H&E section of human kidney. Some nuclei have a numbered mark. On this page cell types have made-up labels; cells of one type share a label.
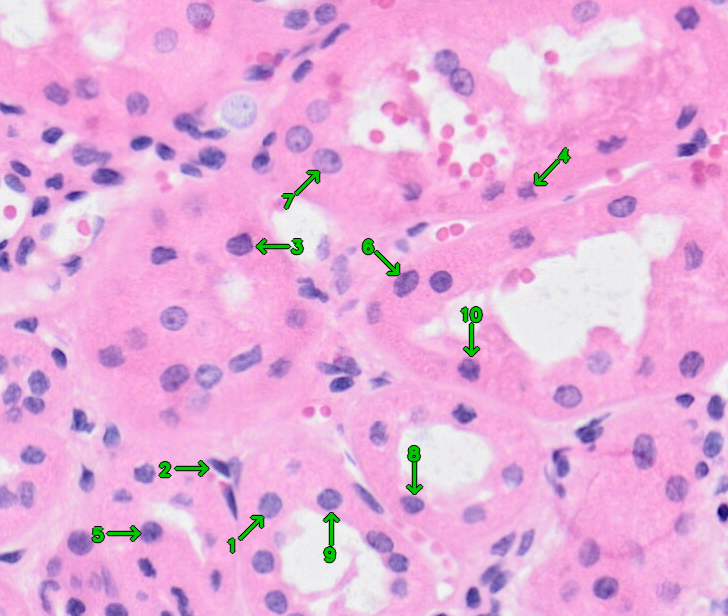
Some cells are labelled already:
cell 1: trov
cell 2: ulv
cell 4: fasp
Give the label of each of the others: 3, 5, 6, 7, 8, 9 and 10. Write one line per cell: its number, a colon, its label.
3: fasp
5: trov
6: fasp
7: fasp
8: trov
9: trov
10: fasp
